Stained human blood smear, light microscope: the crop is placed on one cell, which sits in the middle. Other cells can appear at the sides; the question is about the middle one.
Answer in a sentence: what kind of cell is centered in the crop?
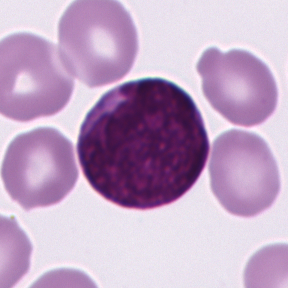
Framed in the middle of the crop is a myeloblast.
